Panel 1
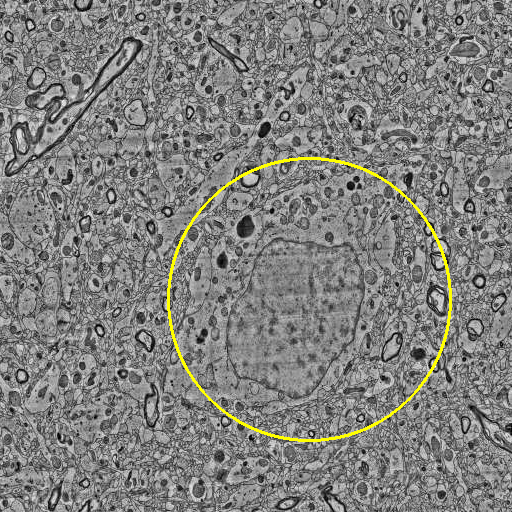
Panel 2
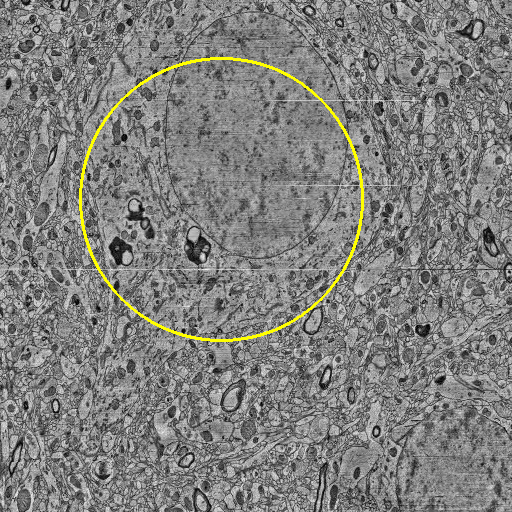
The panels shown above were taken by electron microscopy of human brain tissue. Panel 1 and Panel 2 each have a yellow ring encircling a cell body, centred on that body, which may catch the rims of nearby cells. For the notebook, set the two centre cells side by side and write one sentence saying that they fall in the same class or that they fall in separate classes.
The centred cells of Panel 1 and Panel 2 fall in separate classes.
